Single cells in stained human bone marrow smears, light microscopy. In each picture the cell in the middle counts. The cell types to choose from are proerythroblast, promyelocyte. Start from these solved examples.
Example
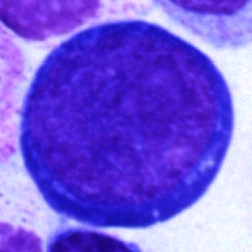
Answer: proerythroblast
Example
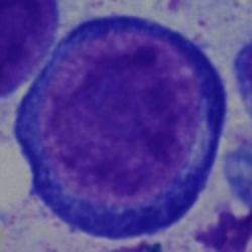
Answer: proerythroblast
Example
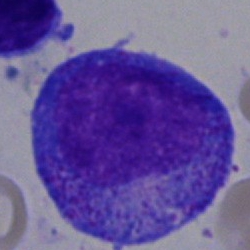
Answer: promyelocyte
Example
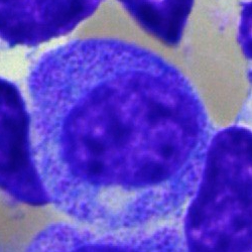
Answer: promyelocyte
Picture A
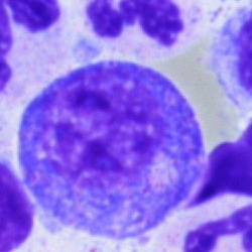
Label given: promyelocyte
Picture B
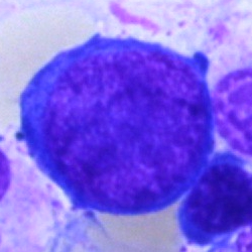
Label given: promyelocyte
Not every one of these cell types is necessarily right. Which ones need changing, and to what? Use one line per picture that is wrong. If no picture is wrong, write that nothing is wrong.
B: change promyelocyte to proerythroblast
